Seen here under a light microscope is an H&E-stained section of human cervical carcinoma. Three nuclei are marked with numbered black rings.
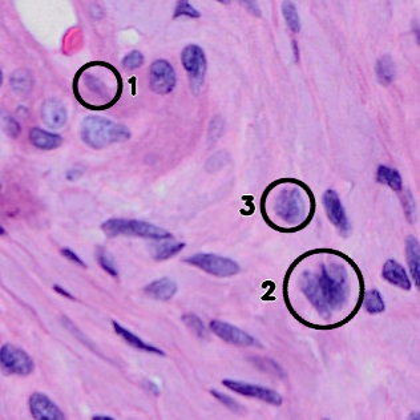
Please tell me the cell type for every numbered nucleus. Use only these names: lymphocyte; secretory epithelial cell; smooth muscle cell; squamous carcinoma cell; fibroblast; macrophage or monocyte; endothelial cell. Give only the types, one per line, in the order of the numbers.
endothelial cell
fibroblast
fibroblast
